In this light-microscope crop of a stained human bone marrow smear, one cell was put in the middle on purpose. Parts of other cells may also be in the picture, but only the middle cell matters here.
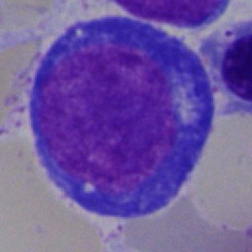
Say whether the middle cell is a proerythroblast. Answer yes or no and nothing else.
yes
